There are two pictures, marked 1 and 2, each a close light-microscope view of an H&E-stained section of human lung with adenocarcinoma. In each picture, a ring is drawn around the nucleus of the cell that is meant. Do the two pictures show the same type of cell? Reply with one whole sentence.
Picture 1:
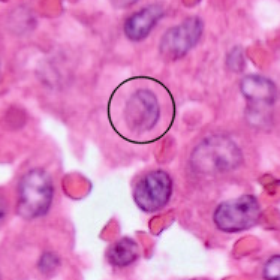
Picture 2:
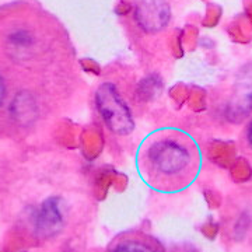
Yes, both are “macrophages or monocytes”.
